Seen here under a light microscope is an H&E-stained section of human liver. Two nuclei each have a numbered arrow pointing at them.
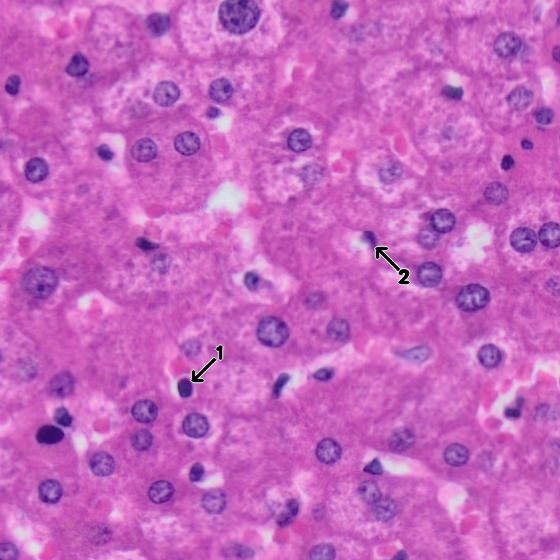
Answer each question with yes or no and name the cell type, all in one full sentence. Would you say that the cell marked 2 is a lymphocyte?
No, the cell bearing the number 2 is an endothelial cell, not a lymphocyte.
